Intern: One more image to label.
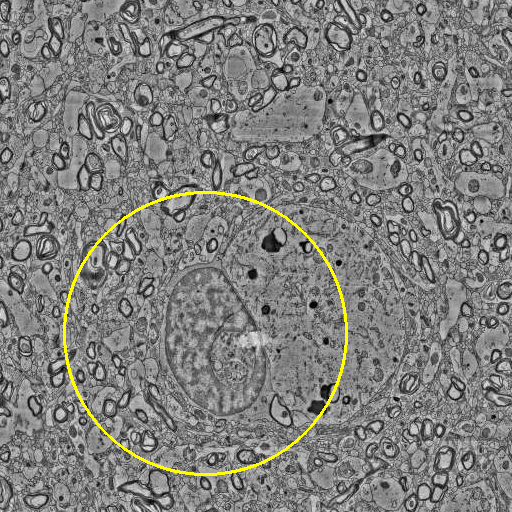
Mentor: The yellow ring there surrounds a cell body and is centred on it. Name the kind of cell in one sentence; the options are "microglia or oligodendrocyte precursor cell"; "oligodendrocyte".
The ring marks the cell body of an oligodendrocyte.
